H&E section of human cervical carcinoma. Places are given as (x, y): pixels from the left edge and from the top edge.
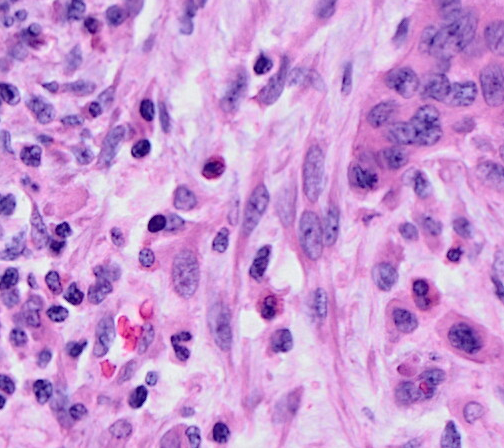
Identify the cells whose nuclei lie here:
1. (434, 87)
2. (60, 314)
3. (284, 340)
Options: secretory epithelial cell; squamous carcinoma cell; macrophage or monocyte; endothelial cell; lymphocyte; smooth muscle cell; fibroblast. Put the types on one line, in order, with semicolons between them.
squamous carcinoma cell; lymphocyte; macrophage or monocyte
